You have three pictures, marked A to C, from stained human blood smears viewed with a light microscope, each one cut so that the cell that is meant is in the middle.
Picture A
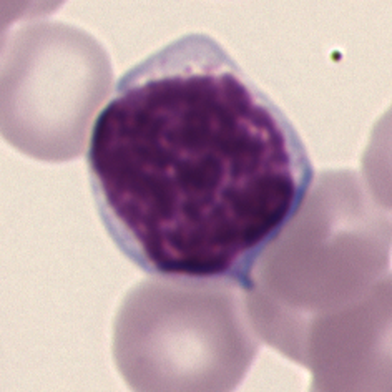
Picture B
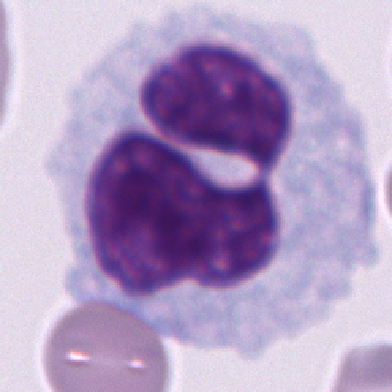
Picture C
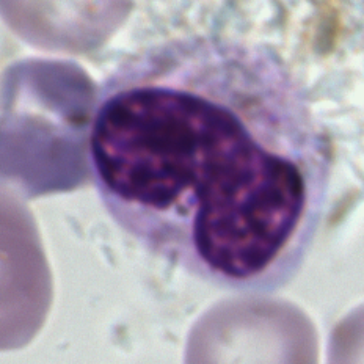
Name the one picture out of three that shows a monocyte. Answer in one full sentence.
It is picture B that shows the monocyte.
